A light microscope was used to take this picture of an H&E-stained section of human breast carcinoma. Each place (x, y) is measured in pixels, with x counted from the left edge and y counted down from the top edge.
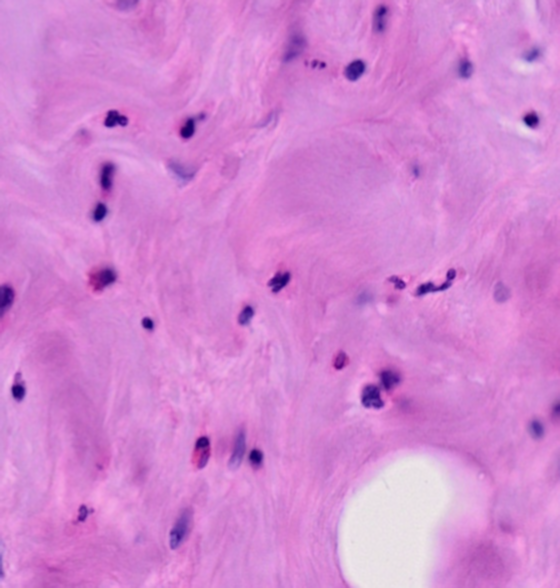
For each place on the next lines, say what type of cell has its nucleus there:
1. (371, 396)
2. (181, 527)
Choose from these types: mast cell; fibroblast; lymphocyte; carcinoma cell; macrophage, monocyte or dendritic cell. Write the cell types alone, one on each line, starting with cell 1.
lymphocyte
fibroblast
